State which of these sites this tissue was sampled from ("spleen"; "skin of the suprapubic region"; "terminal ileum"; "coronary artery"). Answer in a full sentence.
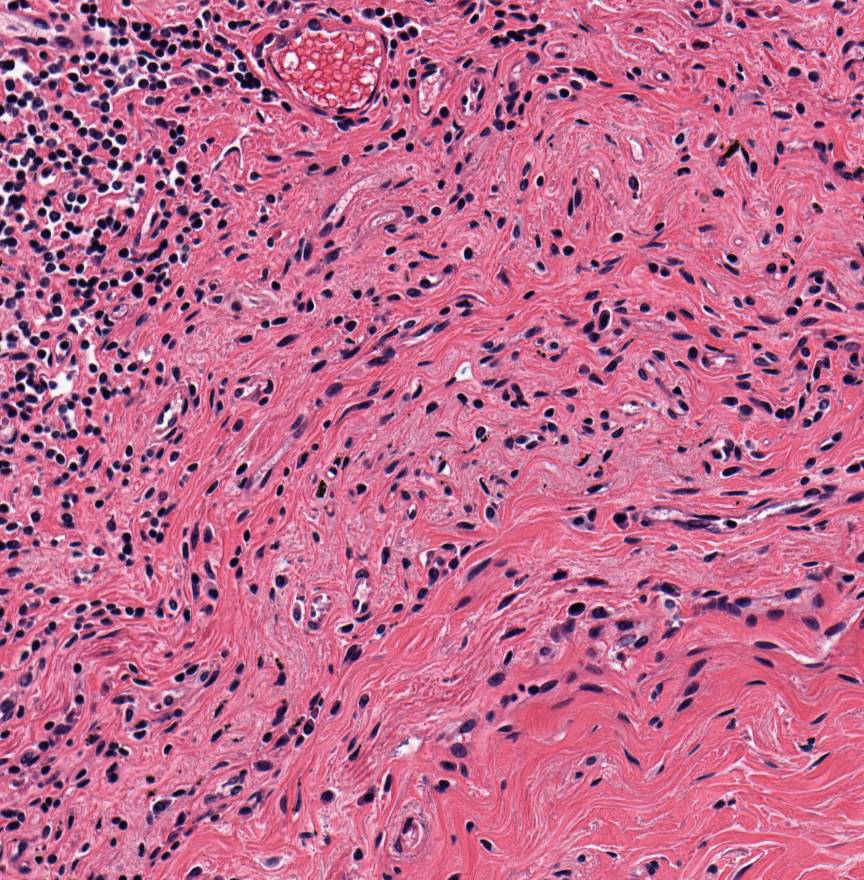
The site this tissue was sampled from is the terminal ileum.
